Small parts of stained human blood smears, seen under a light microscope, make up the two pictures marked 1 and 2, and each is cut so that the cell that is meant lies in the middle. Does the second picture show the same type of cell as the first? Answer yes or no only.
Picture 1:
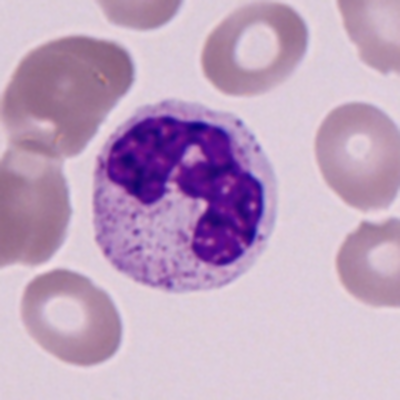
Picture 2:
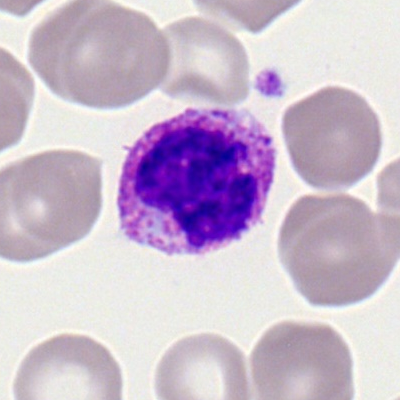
no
